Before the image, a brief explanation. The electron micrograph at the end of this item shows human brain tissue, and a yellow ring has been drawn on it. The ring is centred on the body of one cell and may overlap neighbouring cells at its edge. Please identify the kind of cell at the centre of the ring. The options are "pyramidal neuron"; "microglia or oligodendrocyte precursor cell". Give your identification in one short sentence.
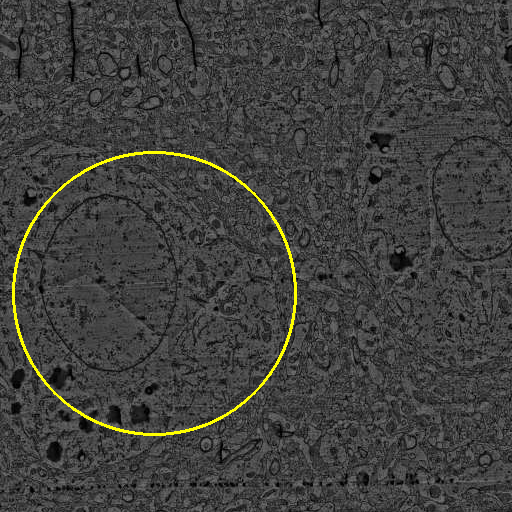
The ring has been placed around a pyramidal neuron.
